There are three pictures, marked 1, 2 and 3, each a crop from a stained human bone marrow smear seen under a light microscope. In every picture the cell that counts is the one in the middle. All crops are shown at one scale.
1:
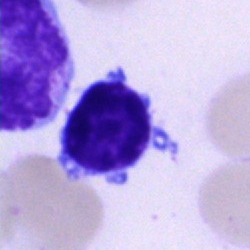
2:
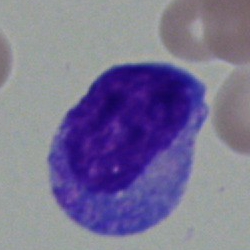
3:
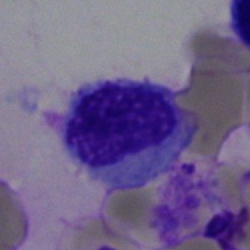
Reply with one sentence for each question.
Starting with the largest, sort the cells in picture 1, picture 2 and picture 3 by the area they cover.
The order is 2, 3, 1, beginning with the largest.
